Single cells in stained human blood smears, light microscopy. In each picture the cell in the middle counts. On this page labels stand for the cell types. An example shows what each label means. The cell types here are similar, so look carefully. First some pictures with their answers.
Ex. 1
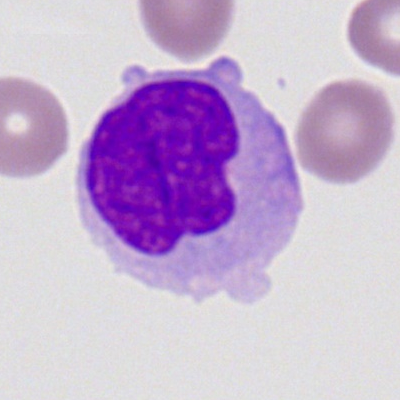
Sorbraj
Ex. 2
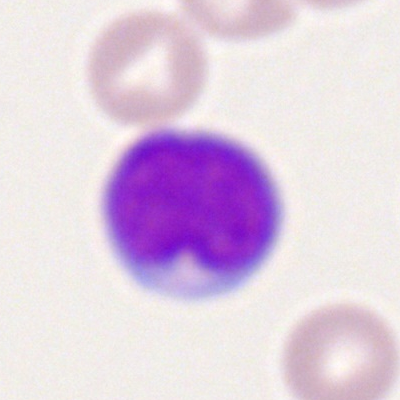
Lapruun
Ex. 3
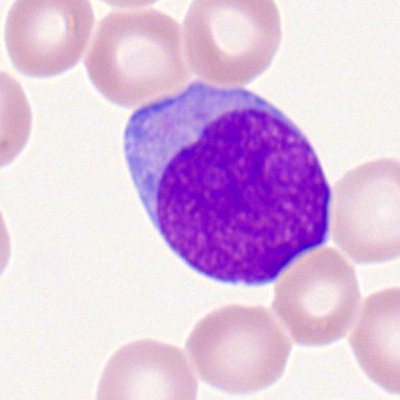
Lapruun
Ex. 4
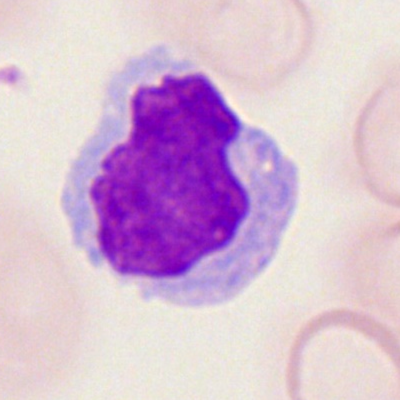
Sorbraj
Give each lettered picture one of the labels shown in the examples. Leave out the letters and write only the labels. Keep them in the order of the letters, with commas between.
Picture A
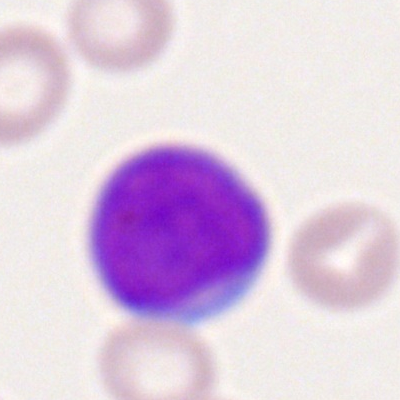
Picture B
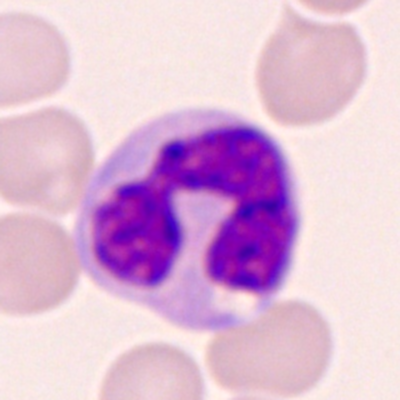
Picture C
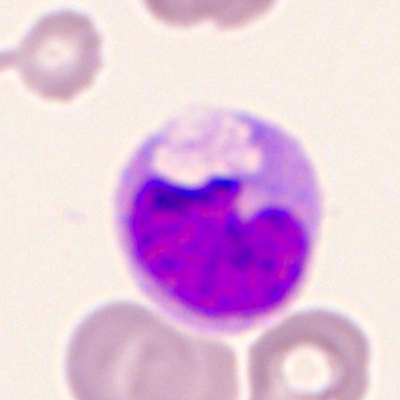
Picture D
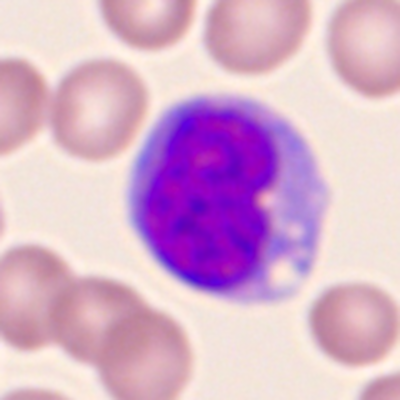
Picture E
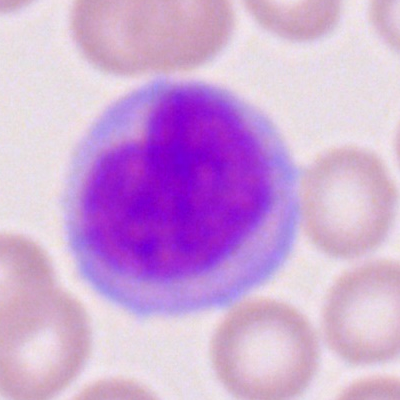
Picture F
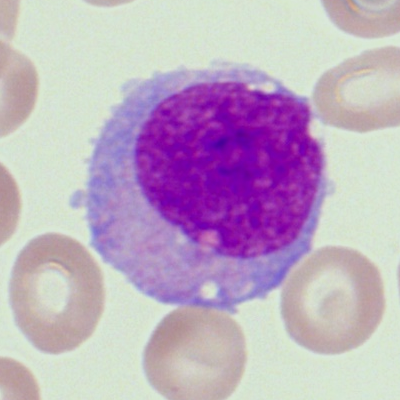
Lapruun, Sorbraj, Sorbraj, Sorbraj, Sorbraj, Lapruun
